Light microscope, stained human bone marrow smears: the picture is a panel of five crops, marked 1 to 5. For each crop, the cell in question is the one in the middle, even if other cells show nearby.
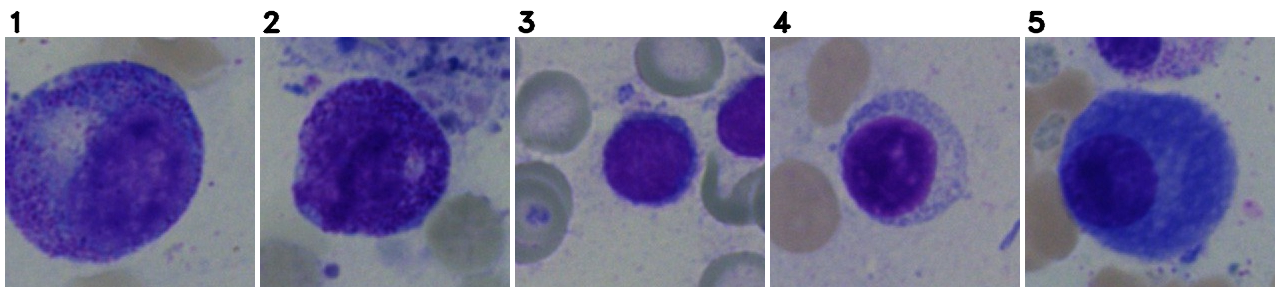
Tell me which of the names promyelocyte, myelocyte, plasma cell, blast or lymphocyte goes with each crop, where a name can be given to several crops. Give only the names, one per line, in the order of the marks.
promyelocyte
promyelocyte
lymphocyte
lymphocyte
plasma cell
